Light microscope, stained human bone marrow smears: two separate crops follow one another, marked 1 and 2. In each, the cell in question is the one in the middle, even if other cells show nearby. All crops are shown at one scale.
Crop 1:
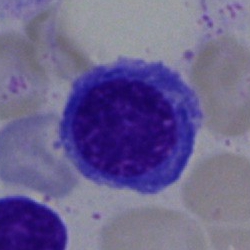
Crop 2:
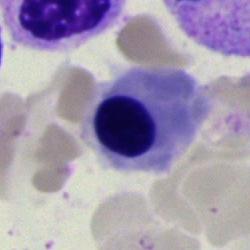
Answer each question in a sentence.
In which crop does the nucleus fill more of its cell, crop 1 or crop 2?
The nucleus fills more of the cell in crop 1 than in crop 2.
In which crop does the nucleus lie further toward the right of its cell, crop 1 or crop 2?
In crop 1 the nucleus is shifted more toward the right.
